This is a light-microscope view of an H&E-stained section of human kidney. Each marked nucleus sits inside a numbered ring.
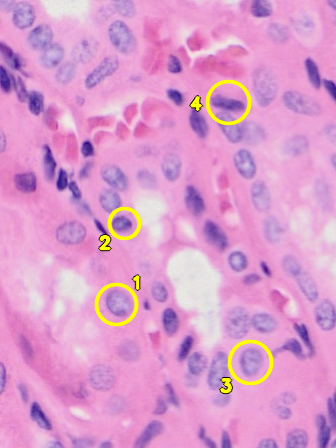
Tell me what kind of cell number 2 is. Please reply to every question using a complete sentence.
Among the marked nuclei, number 2 belongs to a collecting duct cell.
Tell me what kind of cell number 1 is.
The nucleus labelled 1 belongs to a proximal tubule cell.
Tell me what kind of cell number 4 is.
The nucleus labeled 4 belongs to a collecting duct cell.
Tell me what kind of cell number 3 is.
Identified as a collecting duct cell is the cell bearing the number 3.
